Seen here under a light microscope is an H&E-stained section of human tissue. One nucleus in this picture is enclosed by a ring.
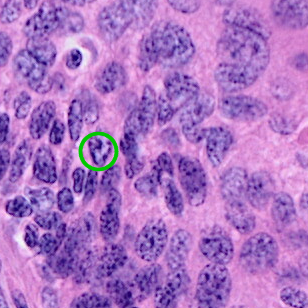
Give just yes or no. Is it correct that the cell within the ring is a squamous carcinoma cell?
yes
